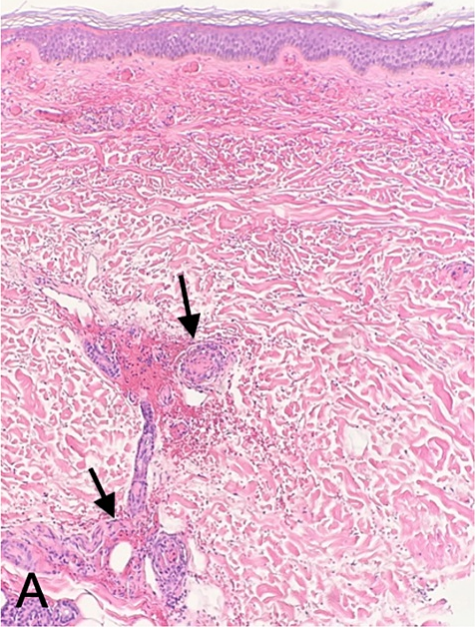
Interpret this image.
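This is skin at low magnification. At the top lies the epidermis, a purple layered band with a thin basket-weave layer of keratin above it. Below it the dermis fills most of the field as pink, wavy collagen bundles with scattered nuclei. In the deeper dermis a few small vessels stand out because dense clusters of dark purple nuclei gather around them, and the nearby collagen is tinged with a diffuse red haze of escaped red blood cells. Small open, empty spaces lie beside these vessels near the bottom.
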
